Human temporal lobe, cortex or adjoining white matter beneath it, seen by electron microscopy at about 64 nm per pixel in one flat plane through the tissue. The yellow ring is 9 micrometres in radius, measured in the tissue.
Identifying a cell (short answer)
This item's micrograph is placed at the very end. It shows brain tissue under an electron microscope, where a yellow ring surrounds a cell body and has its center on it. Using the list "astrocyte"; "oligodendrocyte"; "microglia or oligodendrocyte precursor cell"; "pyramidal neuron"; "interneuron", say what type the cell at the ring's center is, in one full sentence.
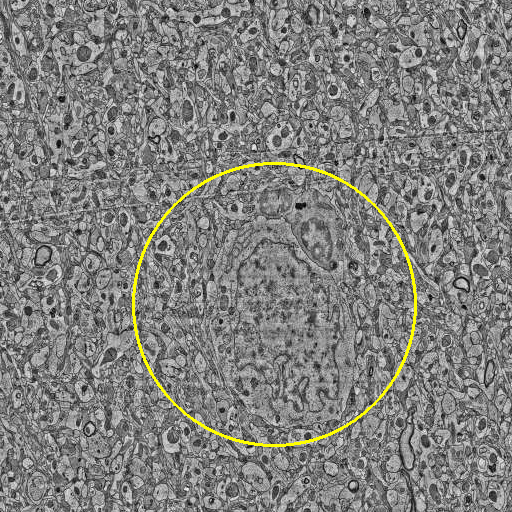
This picture shows an interneuron at the center of the yellow ring drawn on it.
